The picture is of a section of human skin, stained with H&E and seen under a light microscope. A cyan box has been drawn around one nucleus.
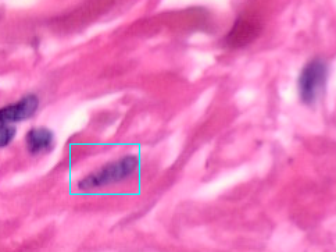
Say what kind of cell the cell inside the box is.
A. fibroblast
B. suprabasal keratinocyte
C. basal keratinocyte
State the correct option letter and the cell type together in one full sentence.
The correct option, A, describes the cell inside the box as a fibroblast.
